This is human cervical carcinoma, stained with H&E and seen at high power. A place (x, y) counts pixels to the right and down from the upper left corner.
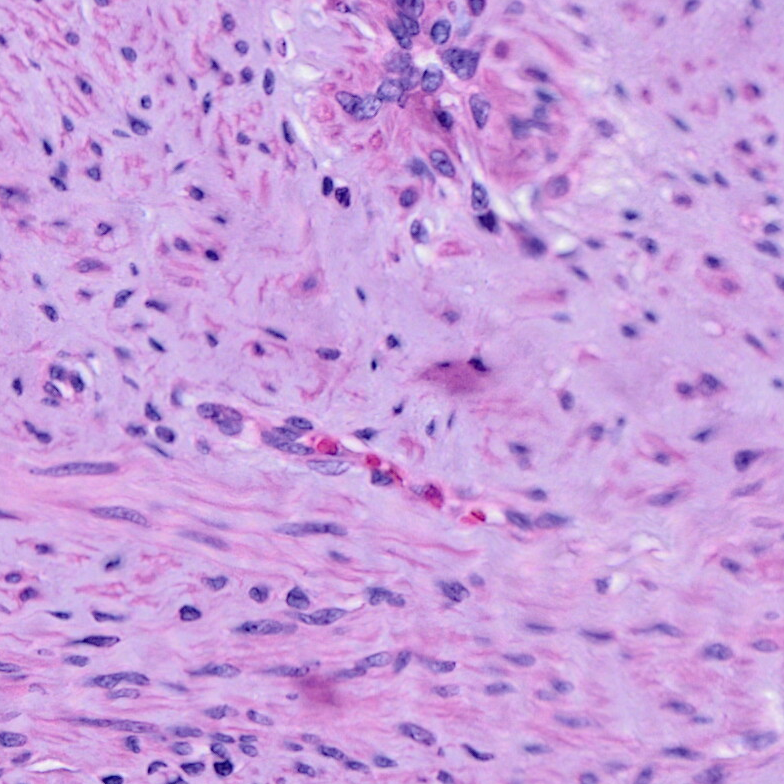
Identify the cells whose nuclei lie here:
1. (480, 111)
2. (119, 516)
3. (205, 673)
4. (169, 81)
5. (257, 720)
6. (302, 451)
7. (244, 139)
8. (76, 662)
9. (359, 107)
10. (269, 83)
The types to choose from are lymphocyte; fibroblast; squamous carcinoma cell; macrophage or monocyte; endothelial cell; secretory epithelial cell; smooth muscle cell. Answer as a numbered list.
1. endothelial cell
2. smooth muscle cell
3. smooth muscle cell
4. smooth muscle cell
5. smooth muscle cell
6. endothelial cell
7. smooth muscle cell
8. fibroblast
9. endothelial cell
10. fibroblast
